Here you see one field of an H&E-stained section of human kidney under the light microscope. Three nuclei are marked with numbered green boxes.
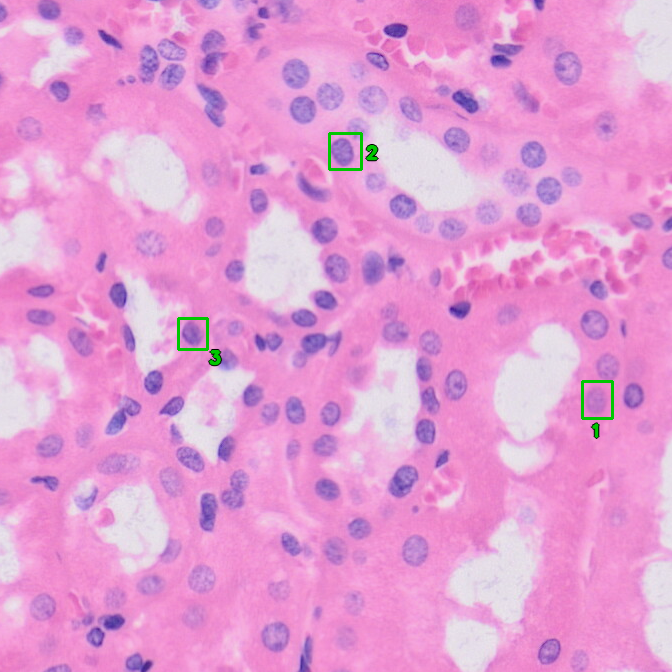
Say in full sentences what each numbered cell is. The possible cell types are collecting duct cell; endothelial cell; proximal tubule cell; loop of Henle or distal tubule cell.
Cell 1 is a proximal tubule cell. Cell 2 is a collecting duct cell. Cell 3 is a loop of Henle or distal tubule cell.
